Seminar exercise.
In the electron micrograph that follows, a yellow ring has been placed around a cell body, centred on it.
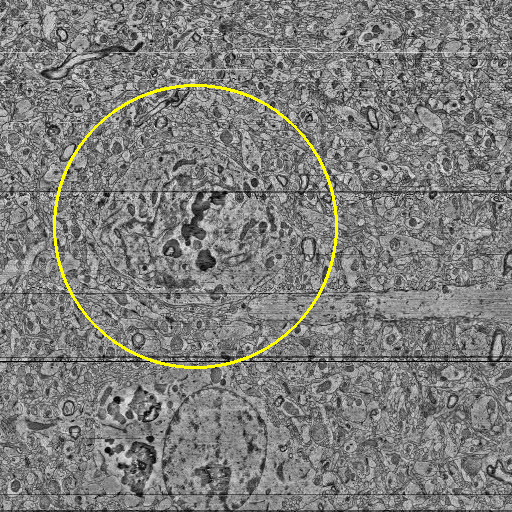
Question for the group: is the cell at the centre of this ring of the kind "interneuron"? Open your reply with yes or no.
Yes, the cell in the ring's centre is of that kind.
